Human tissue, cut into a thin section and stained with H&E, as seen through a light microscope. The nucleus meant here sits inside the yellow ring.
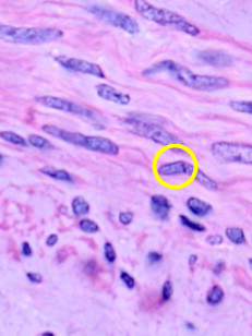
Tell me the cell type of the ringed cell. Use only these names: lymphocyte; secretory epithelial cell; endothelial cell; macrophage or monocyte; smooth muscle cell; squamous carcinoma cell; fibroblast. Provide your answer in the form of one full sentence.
What the ringed cell represents is a smooth muscle cell.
